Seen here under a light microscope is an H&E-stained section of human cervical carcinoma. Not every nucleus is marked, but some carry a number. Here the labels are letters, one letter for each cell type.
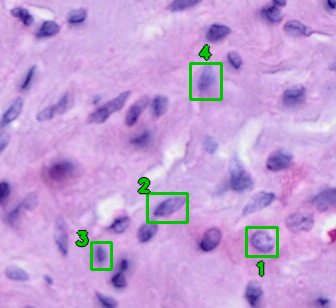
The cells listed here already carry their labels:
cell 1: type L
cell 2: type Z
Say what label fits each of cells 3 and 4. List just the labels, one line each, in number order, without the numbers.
type Z
type Z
